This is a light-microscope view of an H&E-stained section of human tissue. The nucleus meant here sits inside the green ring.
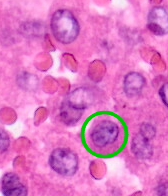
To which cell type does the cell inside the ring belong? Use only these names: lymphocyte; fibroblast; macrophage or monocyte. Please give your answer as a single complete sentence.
Speaking plainly, the cell inside the ring is nothing other than a macrophage or monocyte.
